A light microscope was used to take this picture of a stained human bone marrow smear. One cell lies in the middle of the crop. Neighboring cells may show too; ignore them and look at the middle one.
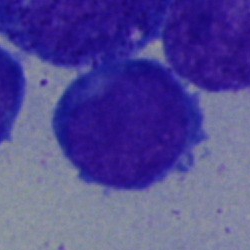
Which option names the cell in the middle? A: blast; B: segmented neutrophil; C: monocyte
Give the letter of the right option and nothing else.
A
